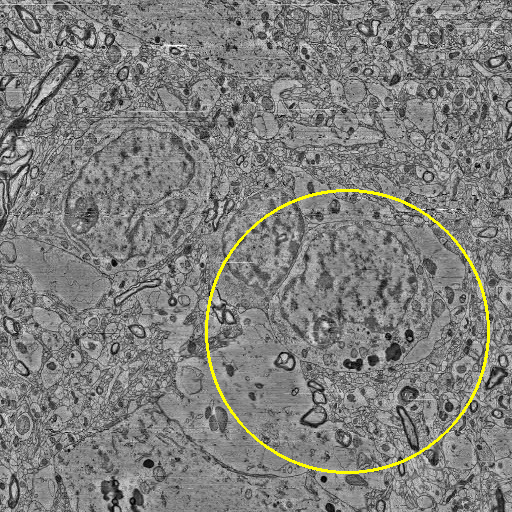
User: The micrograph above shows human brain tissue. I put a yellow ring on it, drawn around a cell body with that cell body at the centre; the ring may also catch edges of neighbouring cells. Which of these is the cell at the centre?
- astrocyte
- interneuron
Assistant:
interneuron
